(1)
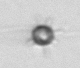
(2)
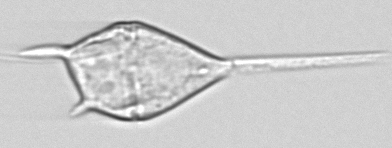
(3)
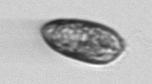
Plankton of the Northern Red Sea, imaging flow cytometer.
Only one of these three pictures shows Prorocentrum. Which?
Picture 3.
